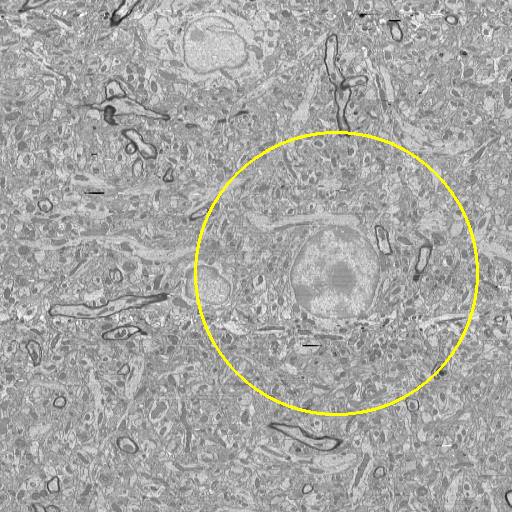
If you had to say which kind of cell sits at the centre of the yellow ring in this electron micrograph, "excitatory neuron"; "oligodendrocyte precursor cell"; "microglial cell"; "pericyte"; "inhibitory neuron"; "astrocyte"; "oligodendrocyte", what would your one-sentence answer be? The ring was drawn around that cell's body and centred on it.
The cell sitting at the centre of the ring is an oligodendrocyte.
